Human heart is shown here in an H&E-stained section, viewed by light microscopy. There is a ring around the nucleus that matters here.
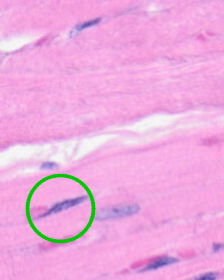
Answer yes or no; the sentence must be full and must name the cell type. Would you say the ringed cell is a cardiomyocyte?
No, on this slide the ringed cell is an endothelial cell, not a cardiomyocyte.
